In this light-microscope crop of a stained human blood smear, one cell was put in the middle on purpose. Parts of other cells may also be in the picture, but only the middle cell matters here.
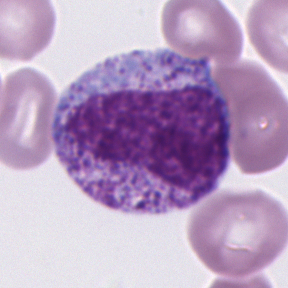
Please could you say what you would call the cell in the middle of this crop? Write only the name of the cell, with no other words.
myelocyte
